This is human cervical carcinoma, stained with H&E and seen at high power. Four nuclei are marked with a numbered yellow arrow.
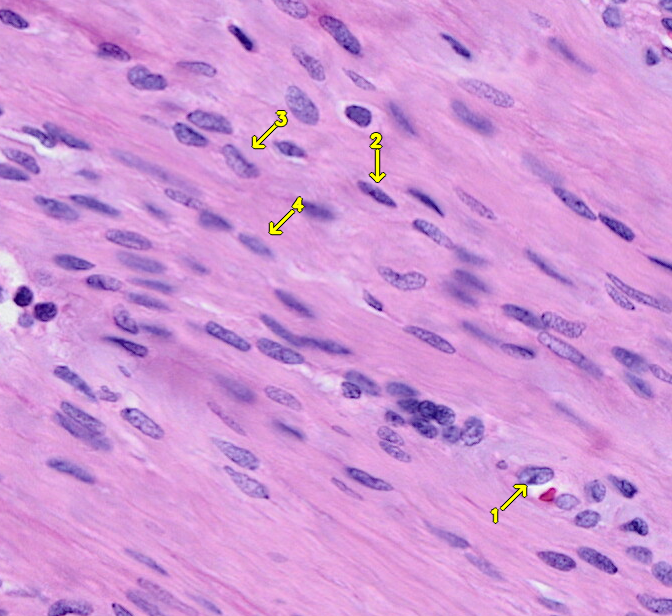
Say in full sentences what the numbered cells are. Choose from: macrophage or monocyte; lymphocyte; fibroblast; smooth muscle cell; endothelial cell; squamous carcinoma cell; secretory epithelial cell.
Cell 1 is an endothelial cell. Cells 2, 3 and 4 are fibroblasts.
